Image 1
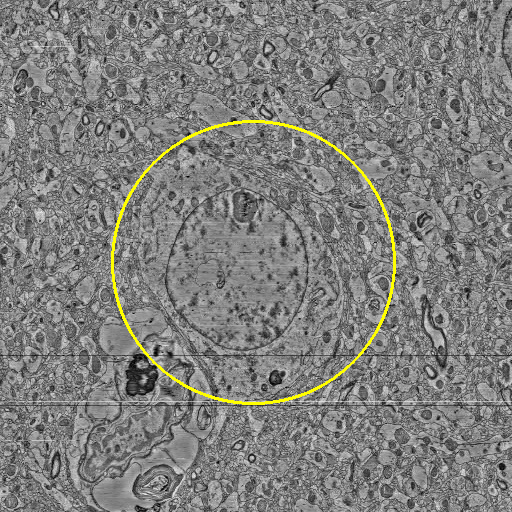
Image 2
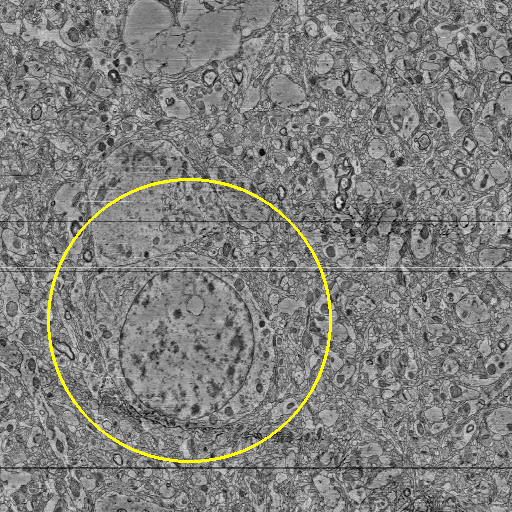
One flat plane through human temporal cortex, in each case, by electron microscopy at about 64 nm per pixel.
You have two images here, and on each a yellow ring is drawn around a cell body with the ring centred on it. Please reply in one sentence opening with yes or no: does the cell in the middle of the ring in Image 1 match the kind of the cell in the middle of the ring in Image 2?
Yes, the two images show cells of one kind at the centres of their rings.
